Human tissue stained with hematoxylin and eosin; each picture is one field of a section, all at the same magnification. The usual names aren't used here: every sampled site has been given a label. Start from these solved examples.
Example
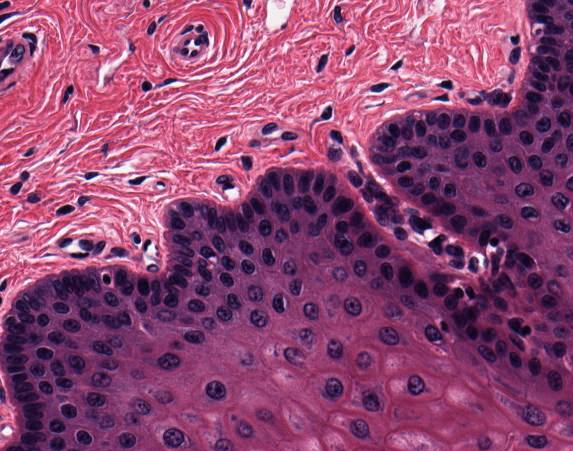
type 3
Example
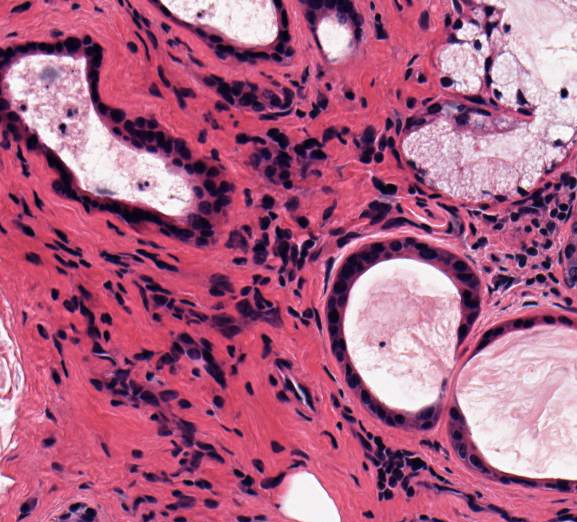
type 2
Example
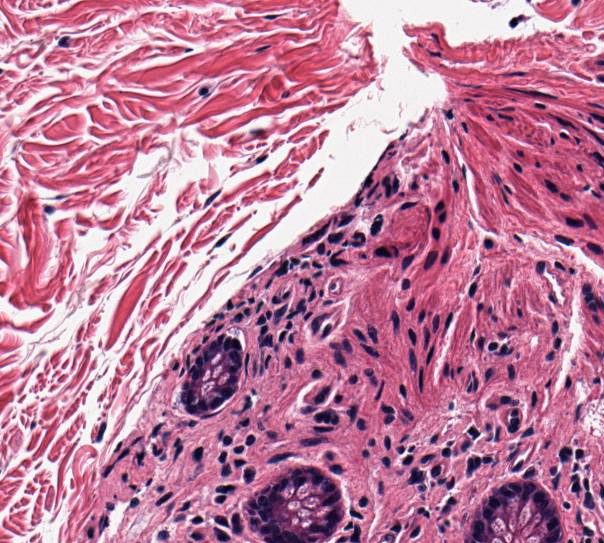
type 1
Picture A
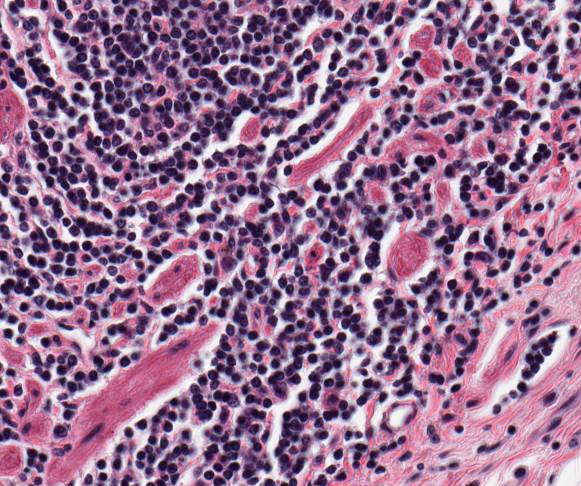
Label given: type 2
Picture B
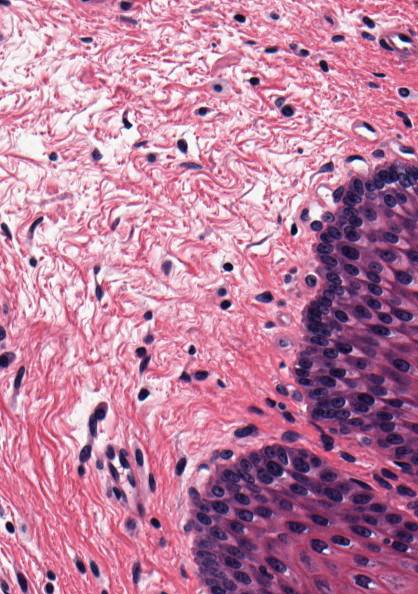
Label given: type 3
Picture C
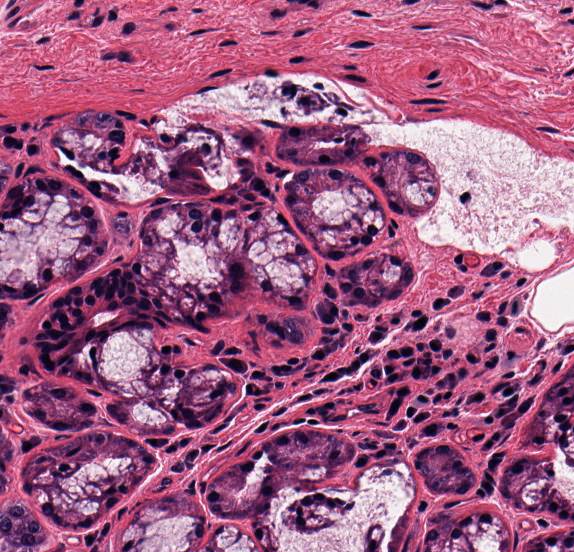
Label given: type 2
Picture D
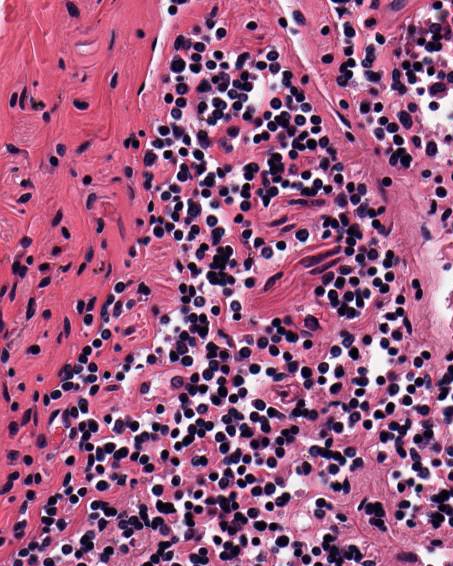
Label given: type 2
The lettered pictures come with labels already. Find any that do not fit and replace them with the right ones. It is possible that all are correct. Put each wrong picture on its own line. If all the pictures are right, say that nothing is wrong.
A is labelled type 2; correct label: type 1
D is labelled type 2; correct label: type 1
